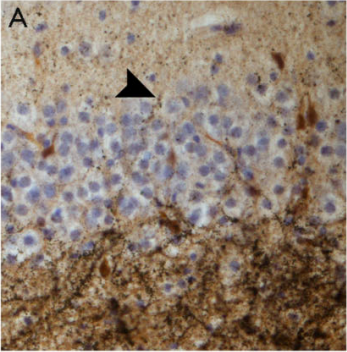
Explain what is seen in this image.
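Dentate gyrus with a band of densely packed granule cells whose round nuclei stain blue. Beneath the cell band, in the subgranular zone, black granules form a dense, coarse meshwork, while above the cell band only sparse fine granules lie on a light brown background. A few scattered cell bodies and processes stain brown.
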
